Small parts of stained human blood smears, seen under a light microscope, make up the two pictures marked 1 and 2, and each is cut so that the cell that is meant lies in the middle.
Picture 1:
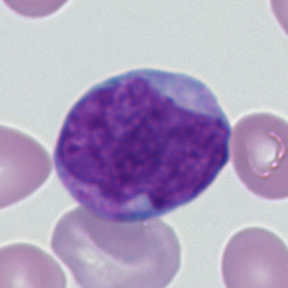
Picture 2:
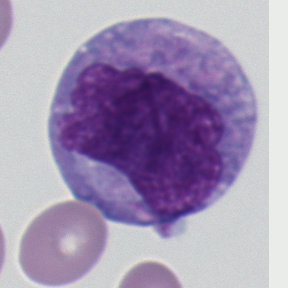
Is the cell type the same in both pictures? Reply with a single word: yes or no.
yes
